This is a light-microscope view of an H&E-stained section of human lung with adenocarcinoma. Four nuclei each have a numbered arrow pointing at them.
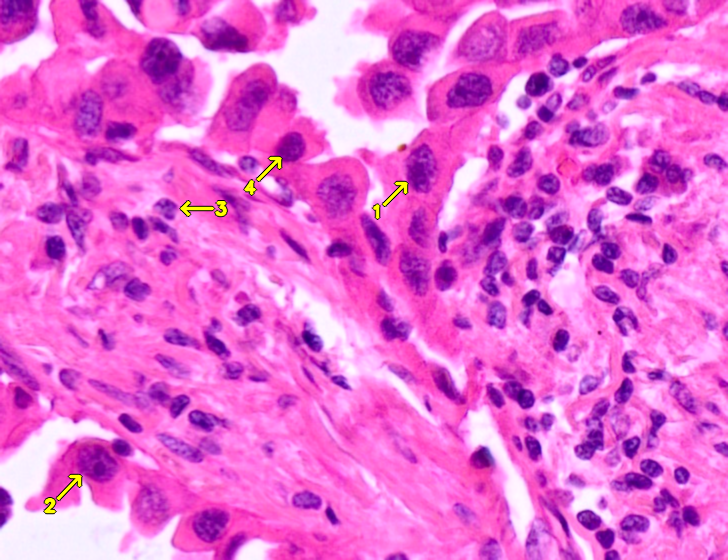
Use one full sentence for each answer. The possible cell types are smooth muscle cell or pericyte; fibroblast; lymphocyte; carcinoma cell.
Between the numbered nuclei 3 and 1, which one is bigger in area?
Number 1 is larger; its area is about 3 times that of number 3.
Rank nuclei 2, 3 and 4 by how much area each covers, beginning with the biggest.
Going from the biggest nucleus down to the smallest gives 2, 4, 3.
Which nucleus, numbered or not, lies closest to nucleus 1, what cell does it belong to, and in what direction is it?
The nearest nucleus is that of a carcinoma cell and lies below nucleus 1.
